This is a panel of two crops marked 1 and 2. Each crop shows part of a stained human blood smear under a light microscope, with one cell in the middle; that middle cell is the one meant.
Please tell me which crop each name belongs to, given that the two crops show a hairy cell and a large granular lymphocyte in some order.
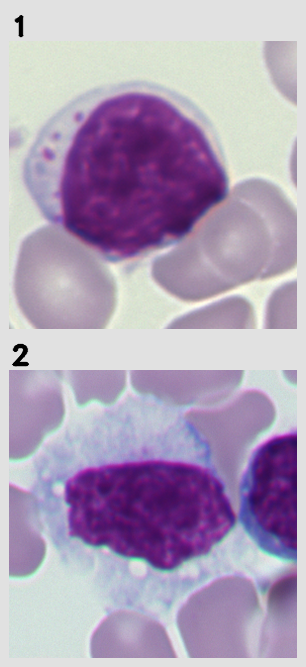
1: large granular lymphocyte
2: hairy cell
